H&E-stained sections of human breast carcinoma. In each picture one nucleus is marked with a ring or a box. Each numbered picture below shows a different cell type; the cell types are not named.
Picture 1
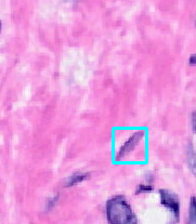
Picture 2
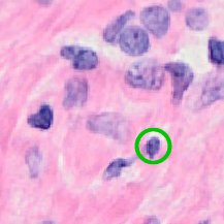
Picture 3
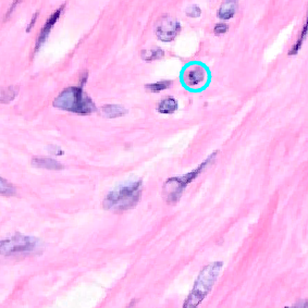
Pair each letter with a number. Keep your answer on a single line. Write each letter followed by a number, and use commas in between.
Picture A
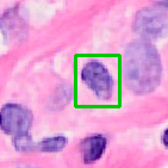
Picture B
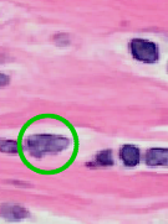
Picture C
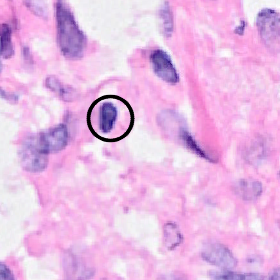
A 2, B 2, C 2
